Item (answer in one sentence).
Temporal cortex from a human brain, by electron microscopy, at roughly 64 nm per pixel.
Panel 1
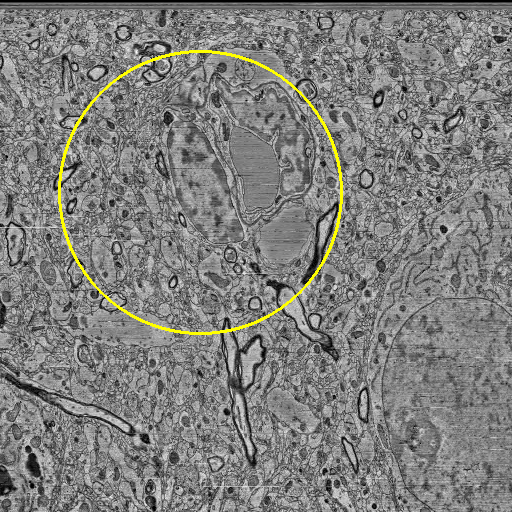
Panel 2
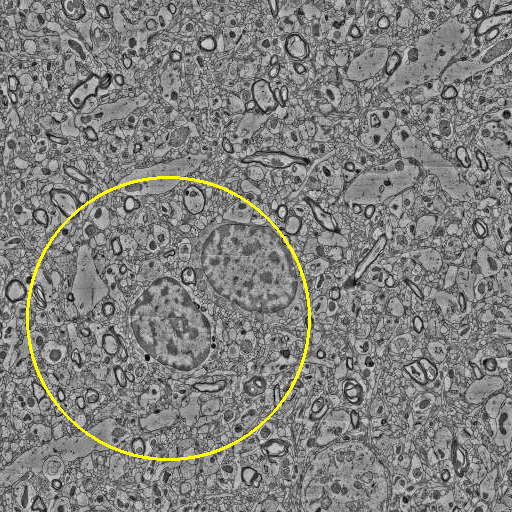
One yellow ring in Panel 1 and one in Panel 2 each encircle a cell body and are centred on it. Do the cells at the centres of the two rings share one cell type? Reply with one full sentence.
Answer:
Yes, Panel 1 and Panel 2 show cells of one type at the centres of their rings.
